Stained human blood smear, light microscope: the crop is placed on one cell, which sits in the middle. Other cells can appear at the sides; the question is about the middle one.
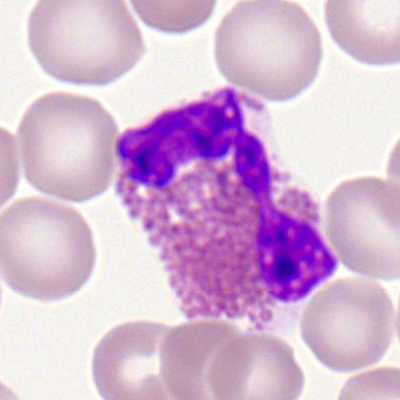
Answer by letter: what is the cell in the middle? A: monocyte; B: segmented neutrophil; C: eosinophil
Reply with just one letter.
C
